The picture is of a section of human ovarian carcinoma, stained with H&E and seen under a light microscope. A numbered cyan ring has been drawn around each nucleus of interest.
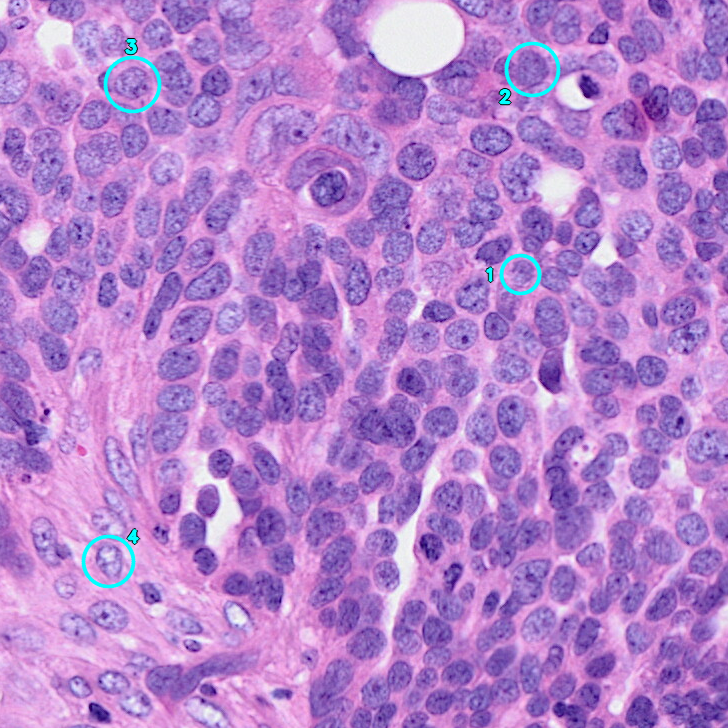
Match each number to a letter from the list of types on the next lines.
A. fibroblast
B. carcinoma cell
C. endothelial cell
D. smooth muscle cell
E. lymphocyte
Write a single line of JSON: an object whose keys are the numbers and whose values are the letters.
{"1": "B", "2": "B", "3": "B", "4": "A"}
